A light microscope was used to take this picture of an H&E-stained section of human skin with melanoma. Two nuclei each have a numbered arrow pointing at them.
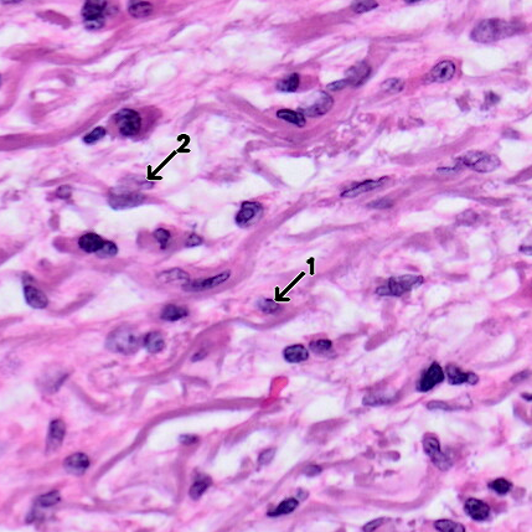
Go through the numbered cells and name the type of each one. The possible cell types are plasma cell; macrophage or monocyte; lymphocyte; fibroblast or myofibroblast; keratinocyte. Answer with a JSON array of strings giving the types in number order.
["macrophage or monocyte", "fibroblast or myofibroblast"]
